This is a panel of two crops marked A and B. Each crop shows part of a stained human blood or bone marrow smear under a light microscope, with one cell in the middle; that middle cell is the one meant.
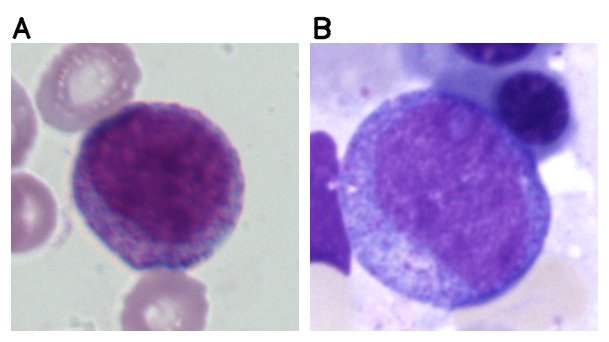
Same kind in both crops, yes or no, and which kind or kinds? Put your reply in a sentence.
Yes, they do, both crops show promyelocytes.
